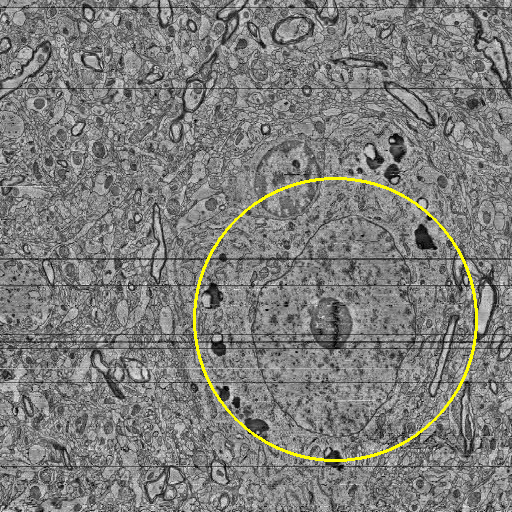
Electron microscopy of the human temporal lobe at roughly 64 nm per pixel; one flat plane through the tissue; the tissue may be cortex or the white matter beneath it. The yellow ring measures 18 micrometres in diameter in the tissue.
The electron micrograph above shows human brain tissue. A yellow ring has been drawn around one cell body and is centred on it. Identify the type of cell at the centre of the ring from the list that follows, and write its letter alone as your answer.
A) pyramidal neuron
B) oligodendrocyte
A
